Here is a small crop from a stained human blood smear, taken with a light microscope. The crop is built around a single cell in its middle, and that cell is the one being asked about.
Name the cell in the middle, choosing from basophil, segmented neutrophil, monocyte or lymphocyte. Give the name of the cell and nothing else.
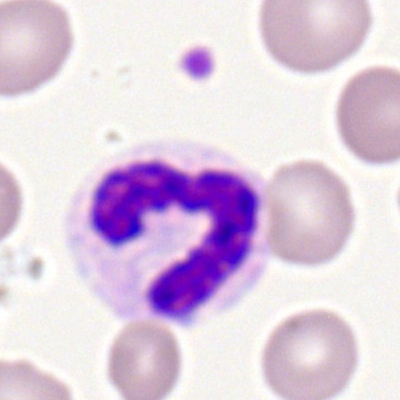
segmented neutrophil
